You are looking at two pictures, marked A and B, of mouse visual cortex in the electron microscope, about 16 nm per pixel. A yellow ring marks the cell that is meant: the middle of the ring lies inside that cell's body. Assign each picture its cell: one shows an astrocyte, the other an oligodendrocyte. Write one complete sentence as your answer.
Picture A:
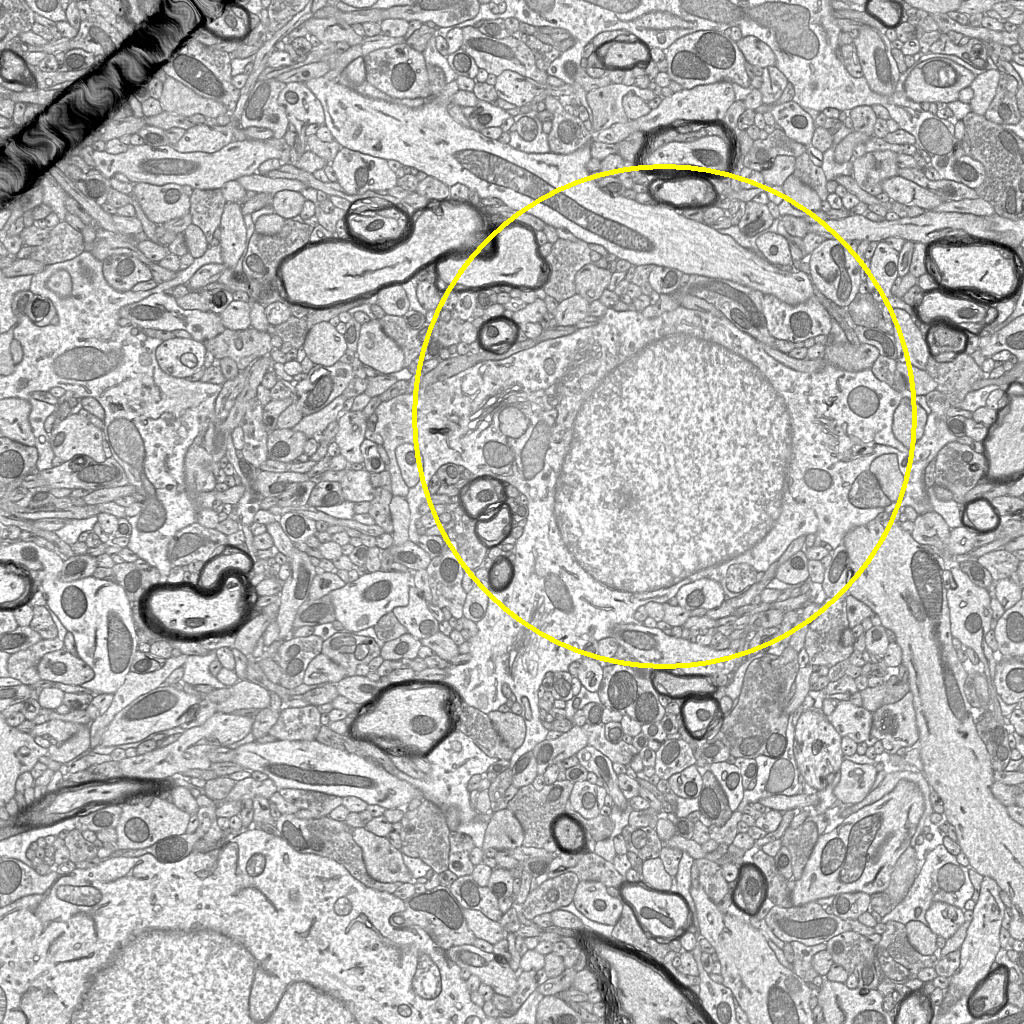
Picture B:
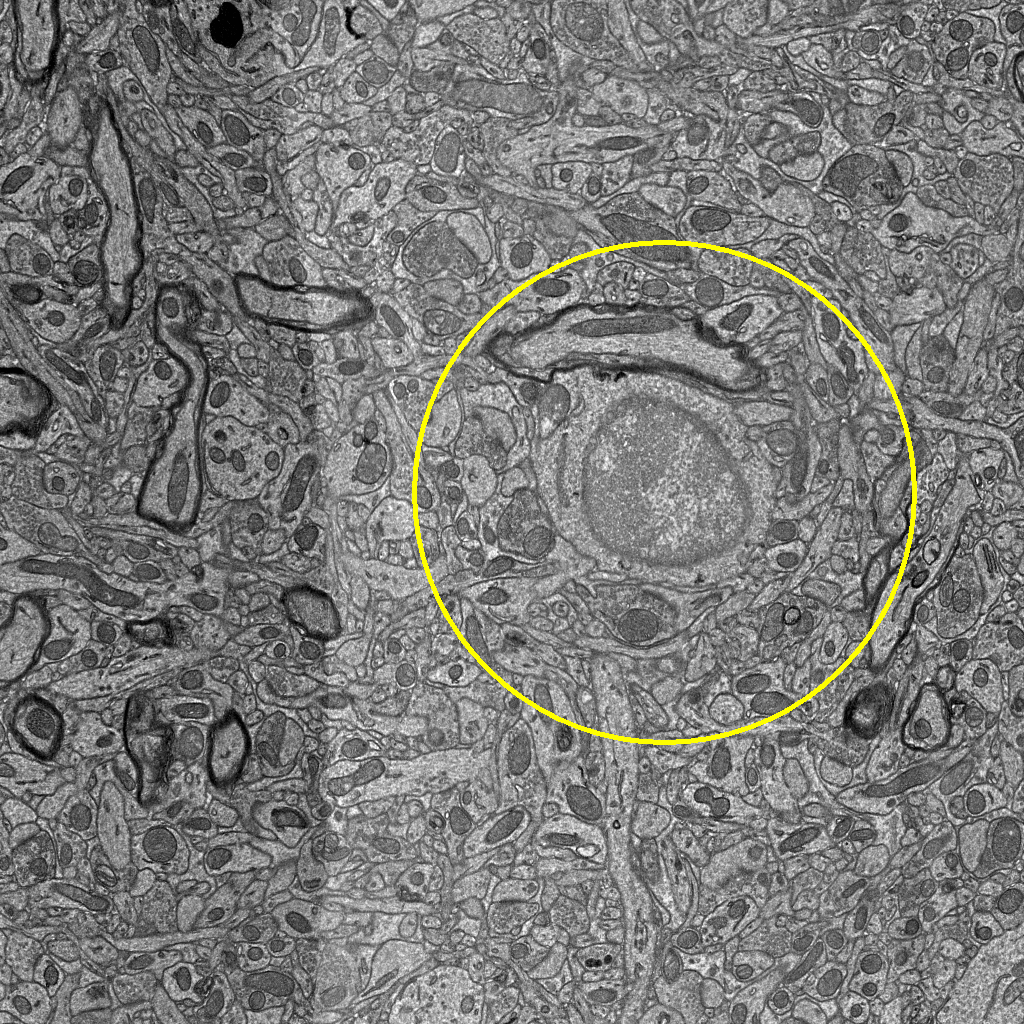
Picture B shows an oligodendrocyte, while picture A shows an astrocyte.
